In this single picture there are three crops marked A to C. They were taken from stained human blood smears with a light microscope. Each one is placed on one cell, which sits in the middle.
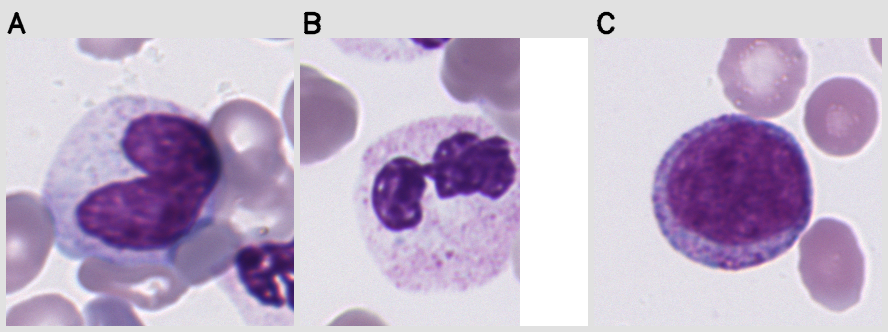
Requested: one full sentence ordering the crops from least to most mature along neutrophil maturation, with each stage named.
In terms of maturity, from least to most, the order is crop C (a promyelocyte), crop A (a metamyelocyte) and crop B (a segmented neutrophil).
